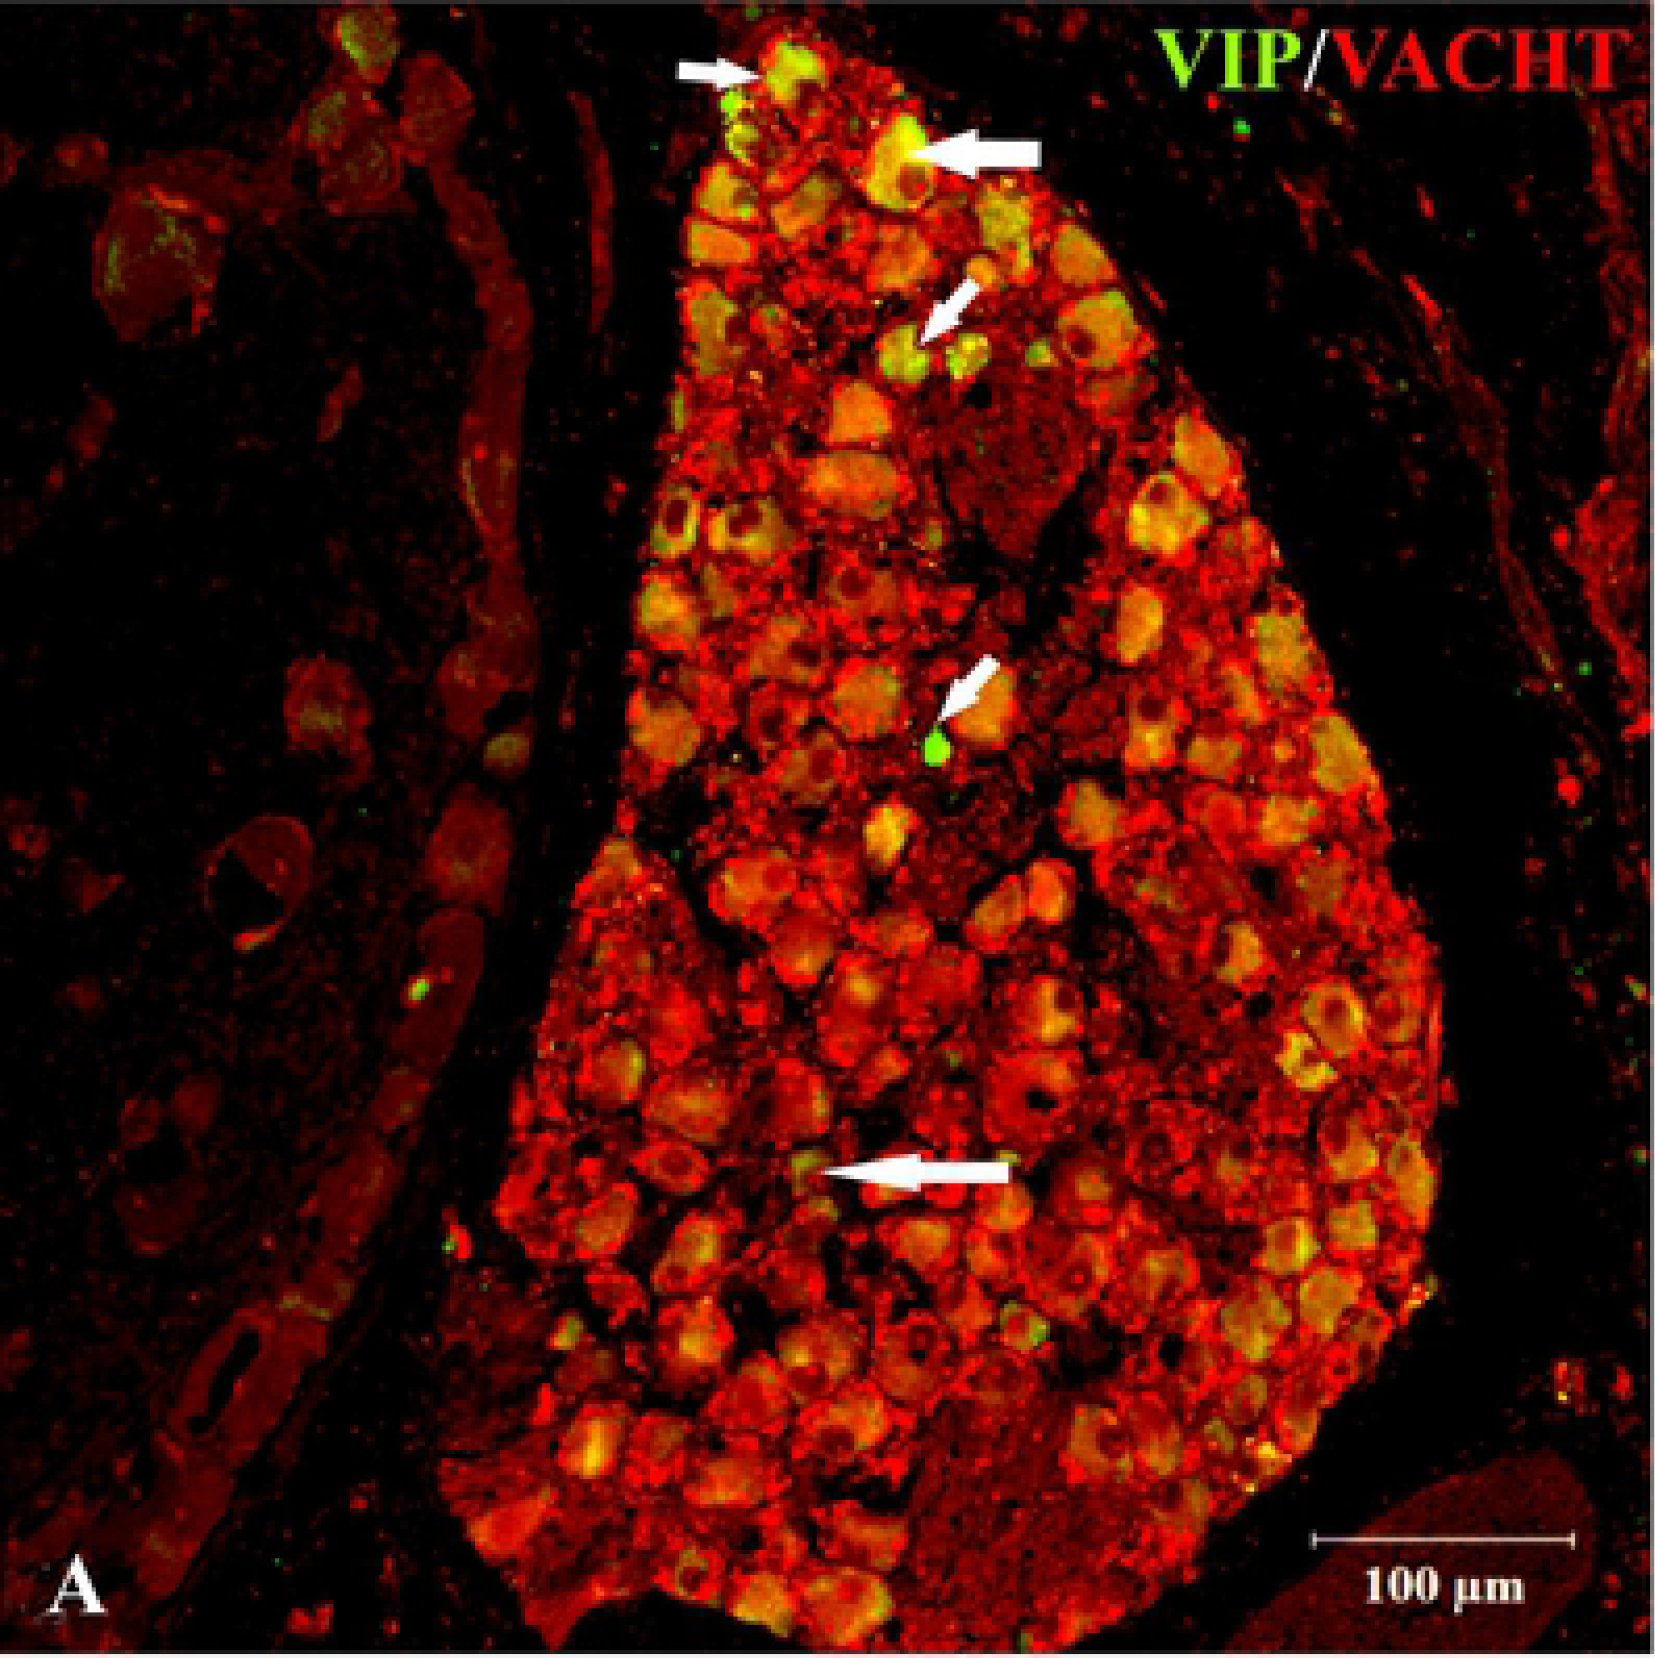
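This is a section through a small ganglion packed with large rounded neuron cell bodies, most glowing orange-red and a few more yellow-green. Many of the cell bodies show a darker round nucleus, and they lie closely side by side inside a teardrop-shaped cluster. Red threads and puncta fill the narrow spaces between them and ring many cell bodies, like fibres wrapping around each one. To the left, outside the cluster, run elongated nerve-like bundles and a few scattered cell bodies.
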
